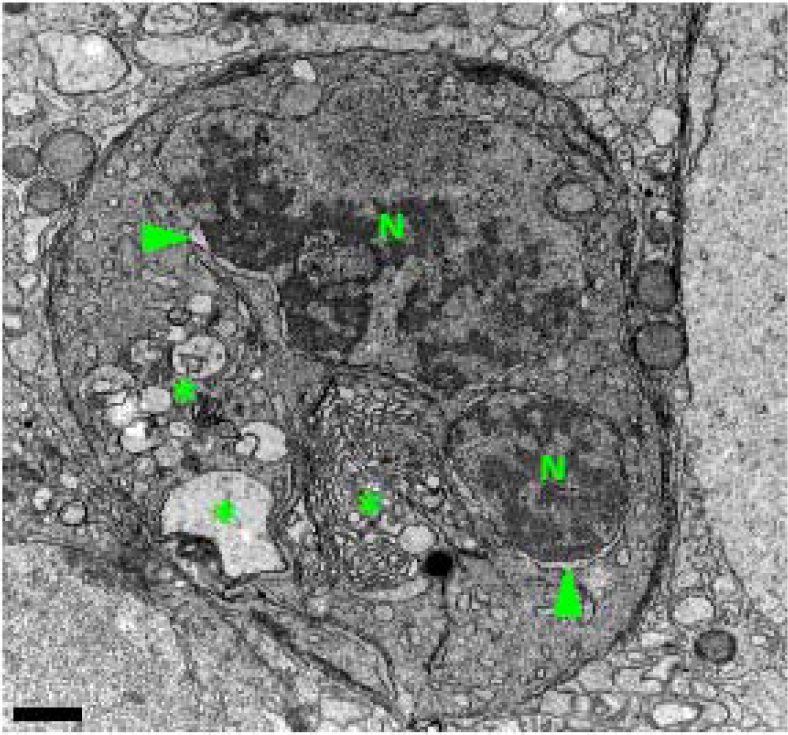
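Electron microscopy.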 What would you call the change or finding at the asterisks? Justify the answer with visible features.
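Clusters of irregular vesicles and whorled membranes sit in the cytoplasm. One large pale irregular space and a stack of tangled membranes lie beside the nucleus.
Hence: accumulation of damaged membranous material and organelles.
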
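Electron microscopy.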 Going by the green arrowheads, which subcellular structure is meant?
nuclear envelope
